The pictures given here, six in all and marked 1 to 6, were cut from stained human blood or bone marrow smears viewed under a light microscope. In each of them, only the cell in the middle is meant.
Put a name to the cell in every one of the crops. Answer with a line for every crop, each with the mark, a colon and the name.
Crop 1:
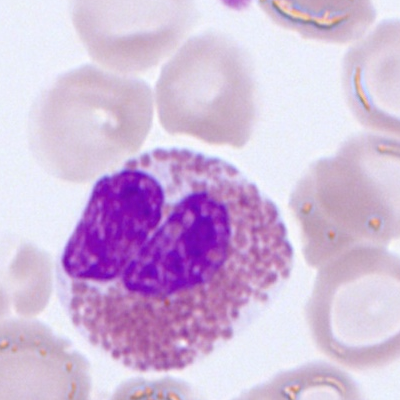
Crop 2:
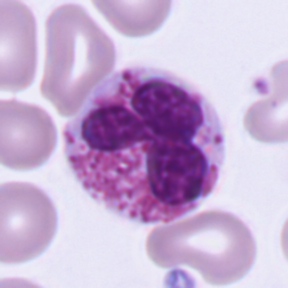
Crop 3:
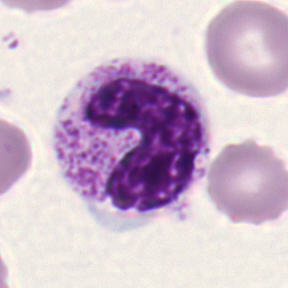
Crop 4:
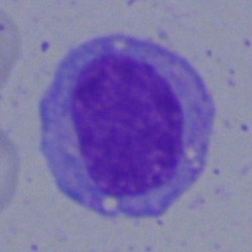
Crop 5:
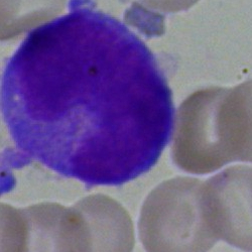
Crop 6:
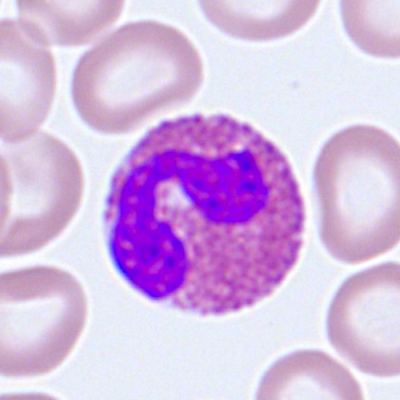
1: eosinophil
2: eosinophil
3: band neutrophil
4: monocyte
5: monocyte
6: eosinophil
